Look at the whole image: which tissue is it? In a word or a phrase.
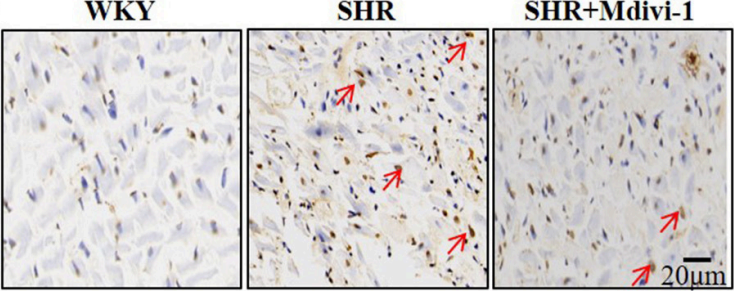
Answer: Heart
